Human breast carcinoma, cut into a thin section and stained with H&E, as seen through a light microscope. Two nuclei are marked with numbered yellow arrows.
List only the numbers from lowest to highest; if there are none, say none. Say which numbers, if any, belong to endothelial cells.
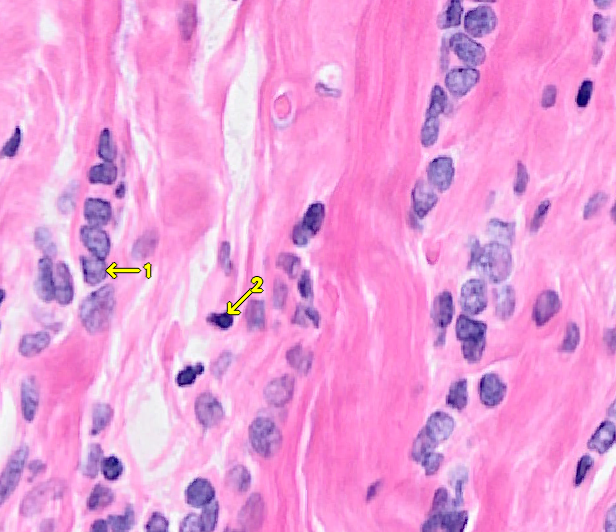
none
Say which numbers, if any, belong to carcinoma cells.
1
